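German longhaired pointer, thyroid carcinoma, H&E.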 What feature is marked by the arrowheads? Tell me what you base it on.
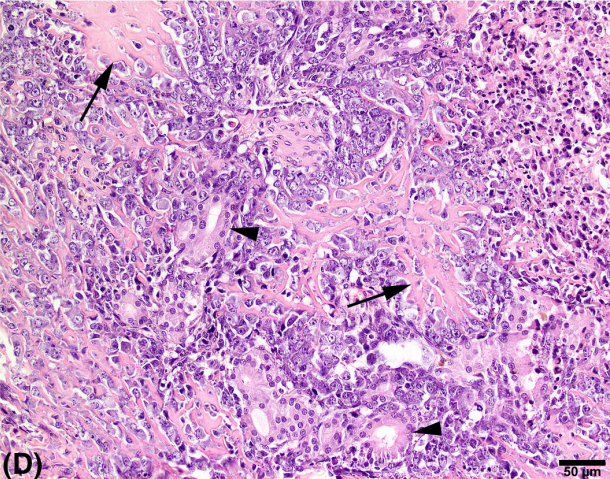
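The arrowheads point to small round lumens lined by epithelial cells. The lumens hold pale pink material. On this evidence: neoplastic follicular structures.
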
